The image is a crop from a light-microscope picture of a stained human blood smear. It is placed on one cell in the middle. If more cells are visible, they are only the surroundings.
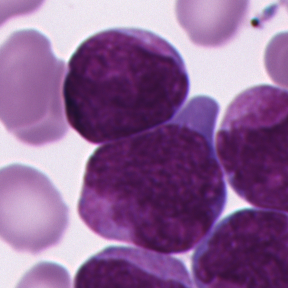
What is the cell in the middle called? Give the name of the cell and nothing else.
myeloblast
